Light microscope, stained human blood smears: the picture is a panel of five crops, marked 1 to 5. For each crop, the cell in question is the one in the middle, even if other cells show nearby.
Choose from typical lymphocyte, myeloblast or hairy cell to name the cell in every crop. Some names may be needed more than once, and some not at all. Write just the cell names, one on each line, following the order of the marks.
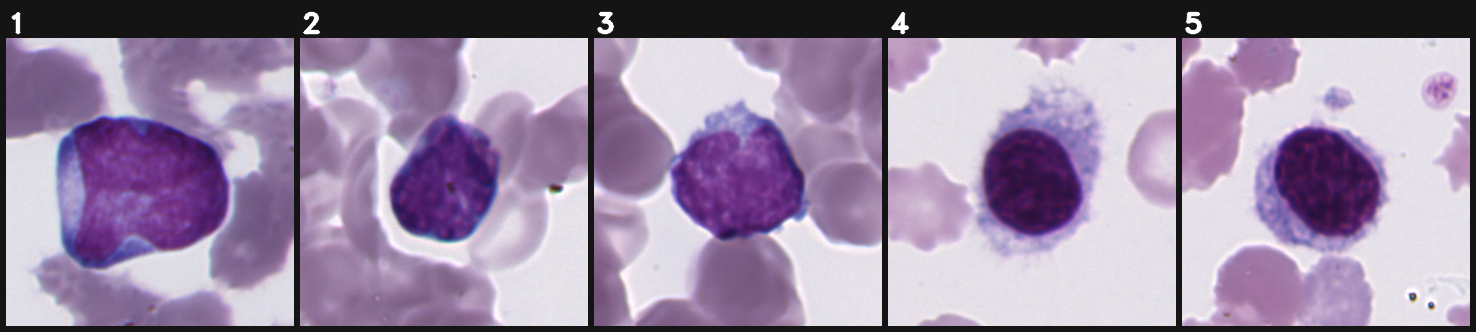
myeloblast
typical lymphocyte
typical lymphocyte
hairy cell
hairy cell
